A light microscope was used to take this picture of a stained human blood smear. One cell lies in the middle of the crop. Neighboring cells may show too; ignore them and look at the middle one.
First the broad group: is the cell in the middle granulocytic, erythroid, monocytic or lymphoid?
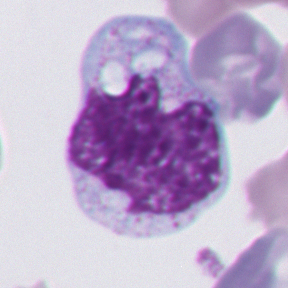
monocytic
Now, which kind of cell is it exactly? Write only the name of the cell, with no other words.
monocyte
